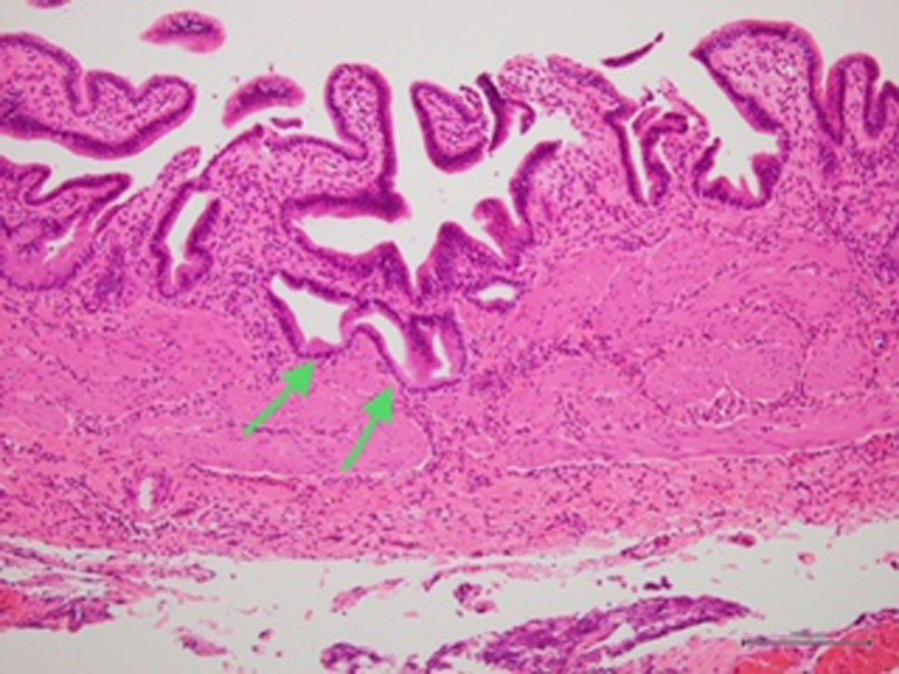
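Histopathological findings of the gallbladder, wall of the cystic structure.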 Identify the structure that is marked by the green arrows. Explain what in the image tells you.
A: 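Rokitansky–Aschoff sinus. Epithelium-lined spaces extend down from the mucosal surface into the underlying pink muscular layer. The spaces are lined by the same columnar epithelium that covers the mucosal folds. Pink smooth muscle bundles surround the invaginated spaces.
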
